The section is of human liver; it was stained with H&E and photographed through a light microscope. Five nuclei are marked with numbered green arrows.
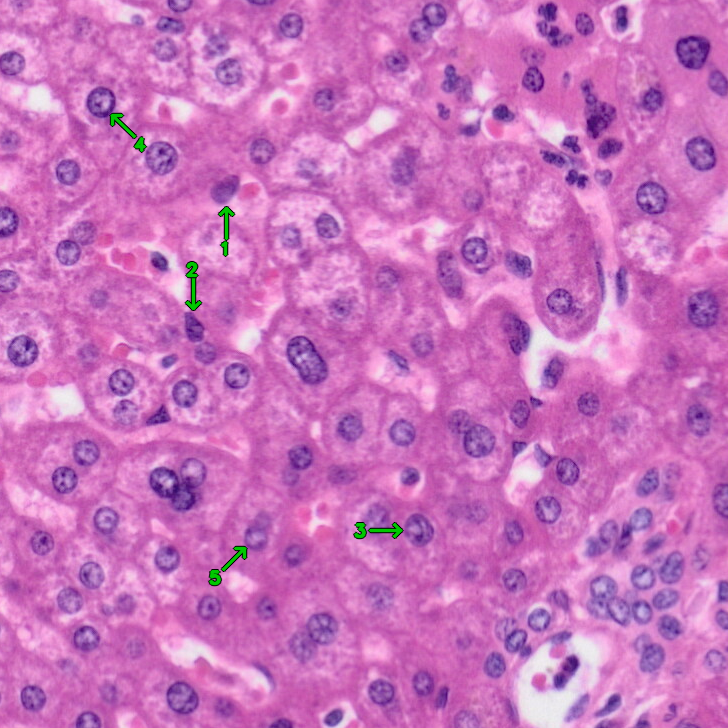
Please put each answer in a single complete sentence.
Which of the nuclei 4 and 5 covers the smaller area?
It is nucleus 5; nucleus 4 has about 1.5 times its area.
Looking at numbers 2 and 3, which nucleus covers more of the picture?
Of the two, number 3 is bigger and takes up about 1.5 times the area of number 2.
